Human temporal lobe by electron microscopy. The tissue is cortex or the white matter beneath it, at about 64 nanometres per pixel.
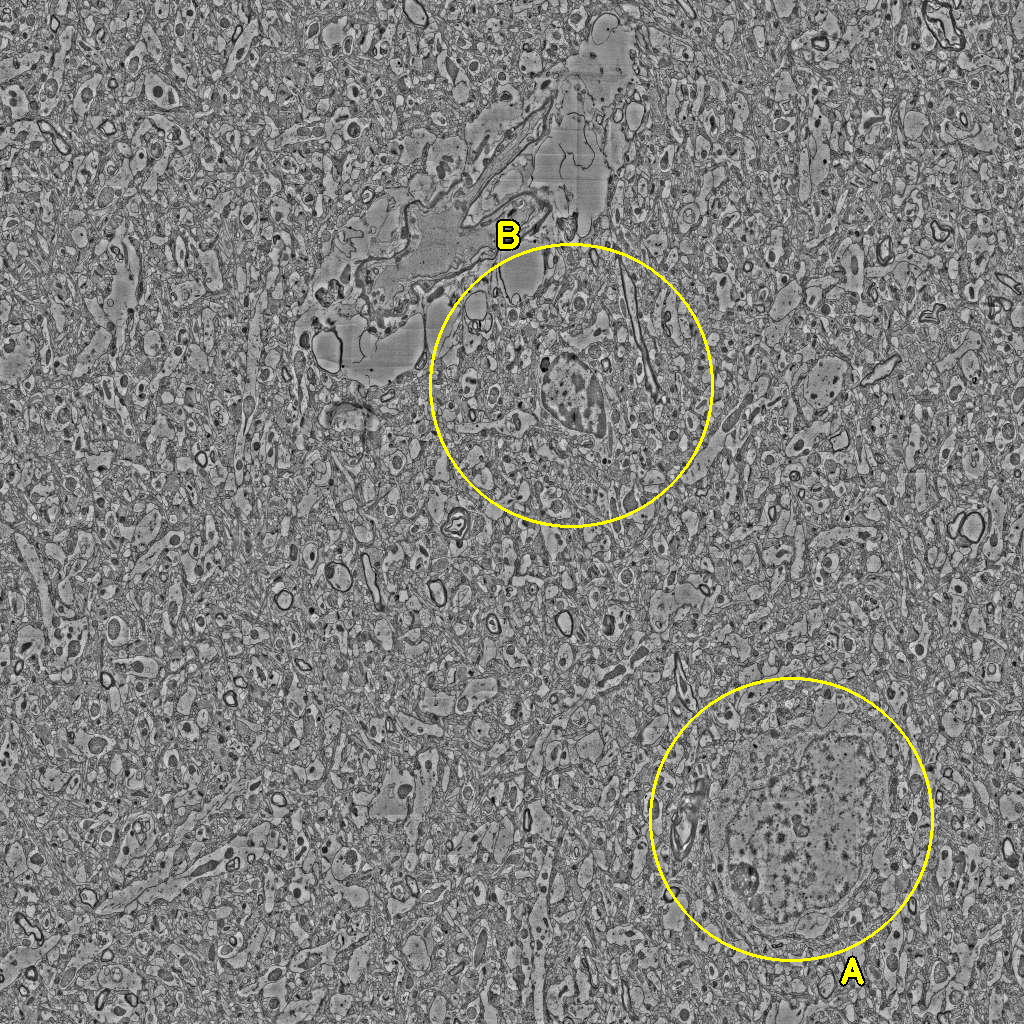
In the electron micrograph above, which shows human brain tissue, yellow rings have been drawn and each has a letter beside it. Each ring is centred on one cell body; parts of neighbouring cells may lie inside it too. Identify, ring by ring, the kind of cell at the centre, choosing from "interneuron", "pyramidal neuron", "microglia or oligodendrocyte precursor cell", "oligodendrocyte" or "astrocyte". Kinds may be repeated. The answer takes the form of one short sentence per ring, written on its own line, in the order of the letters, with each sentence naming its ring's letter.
Inside ring A, at its centre, is an interneuron.
Inside ring B, at its centre, is a microglial cell or oligodendrocyte precursor cell.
